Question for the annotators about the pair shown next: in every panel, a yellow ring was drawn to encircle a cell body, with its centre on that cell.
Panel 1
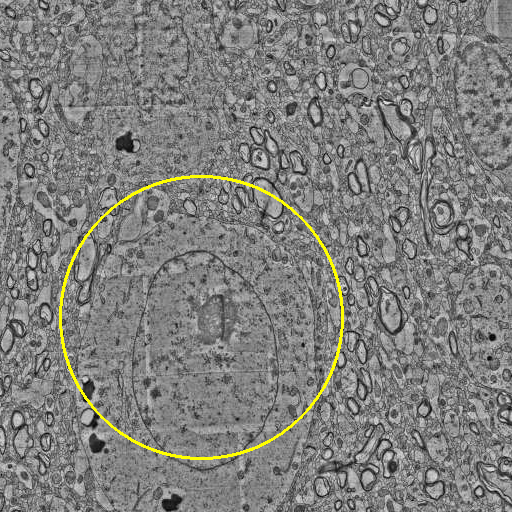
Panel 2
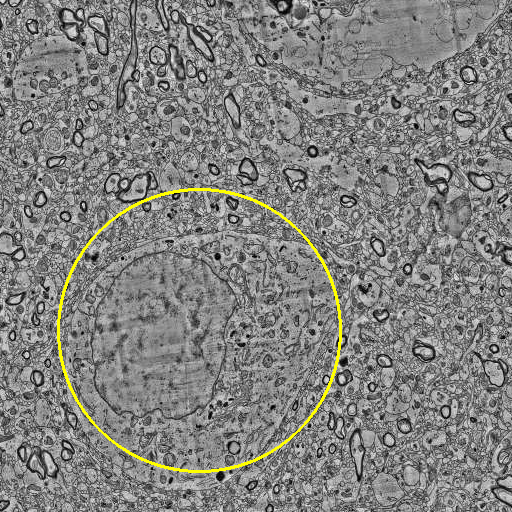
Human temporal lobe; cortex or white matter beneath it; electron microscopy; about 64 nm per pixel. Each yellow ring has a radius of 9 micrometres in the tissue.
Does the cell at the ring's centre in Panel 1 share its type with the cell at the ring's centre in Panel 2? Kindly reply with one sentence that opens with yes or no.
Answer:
Yes, in Panels 1 and 2 the cells at the ring centres belong to a single type.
